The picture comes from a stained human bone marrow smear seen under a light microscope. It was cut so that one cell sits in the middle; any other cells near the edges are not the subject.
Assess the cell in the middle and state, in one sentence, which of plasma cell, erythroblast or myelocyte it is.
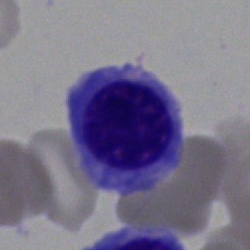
The cell at the centre of the field is an erythroblast.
